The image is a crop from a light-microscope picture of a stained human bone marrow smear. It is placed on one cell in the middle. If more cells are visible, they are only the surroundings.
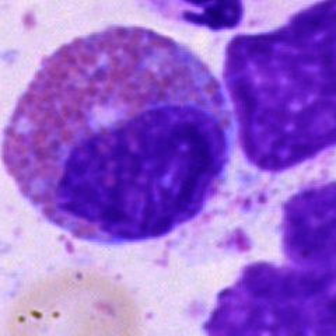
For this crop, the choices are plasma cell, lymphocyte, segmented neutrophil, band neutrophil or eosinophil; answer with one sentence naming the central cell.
The cell in the middle of this crop is an eosinophil.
